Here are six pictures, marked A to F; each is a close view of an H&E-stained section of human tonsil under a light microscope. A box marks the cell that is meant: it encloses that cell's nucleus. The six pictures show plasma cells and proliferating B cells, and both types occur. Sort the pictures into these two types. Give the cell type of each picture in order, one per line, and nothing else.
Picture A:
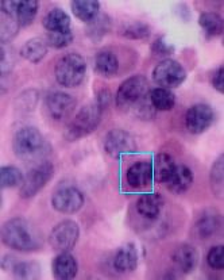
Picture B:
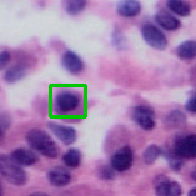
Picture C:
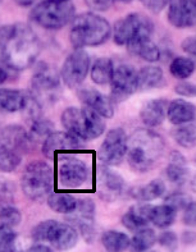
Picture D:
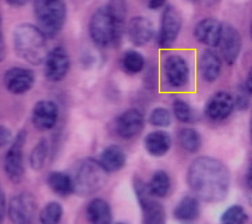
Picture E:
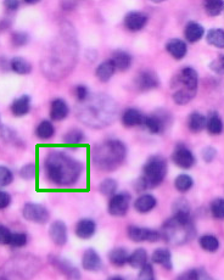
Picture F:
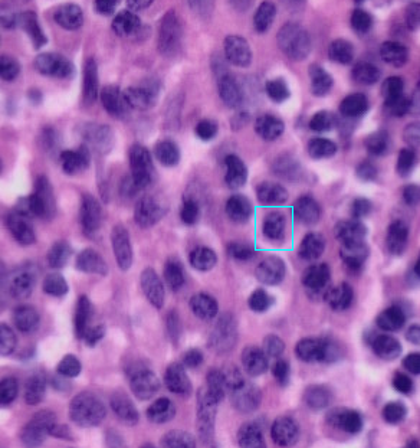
plasma cell
plasma cell
proliferating B cell
plasma cell
proliferating B cell
plasma cell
